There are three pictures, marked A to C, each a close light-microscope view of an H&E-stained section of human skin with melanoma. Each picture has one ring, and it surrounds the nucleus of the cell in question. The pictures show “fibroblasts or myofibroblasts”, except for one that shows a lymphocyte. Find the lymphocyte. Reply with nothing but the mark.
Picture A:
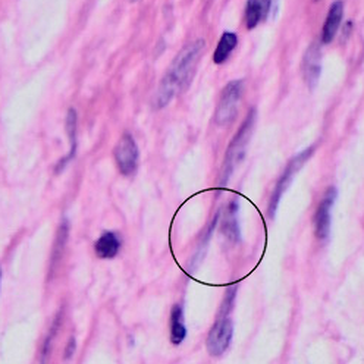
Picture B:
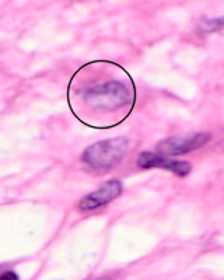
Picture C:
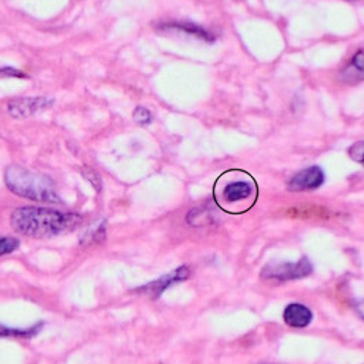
C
